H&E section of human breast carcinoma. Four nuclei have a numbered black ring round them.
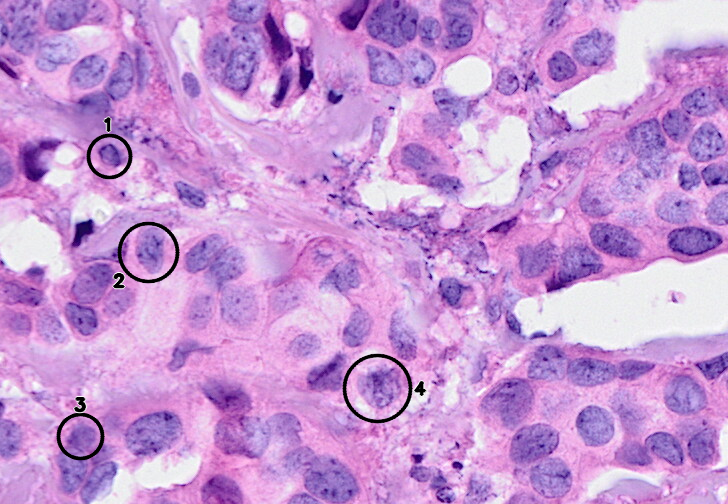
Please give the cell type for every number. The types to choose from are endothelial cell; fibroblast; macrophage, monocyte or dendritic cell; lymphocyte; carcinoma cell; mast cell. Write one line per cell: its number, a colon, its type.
1: macrophage, monocyte or dendritic cell
2: carcinoma cell
3: carcinoma cell
4: carcinoma cell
